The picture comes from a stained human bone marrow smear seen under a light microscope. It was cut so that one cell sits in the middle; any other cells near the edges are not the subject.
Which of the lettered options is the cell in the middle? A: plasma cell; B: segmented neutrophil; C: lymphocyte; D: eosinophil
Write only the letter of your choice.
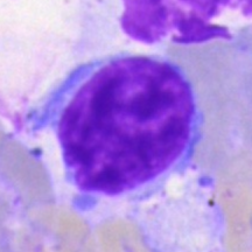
C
